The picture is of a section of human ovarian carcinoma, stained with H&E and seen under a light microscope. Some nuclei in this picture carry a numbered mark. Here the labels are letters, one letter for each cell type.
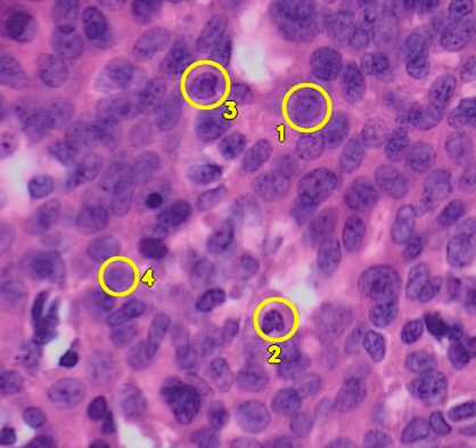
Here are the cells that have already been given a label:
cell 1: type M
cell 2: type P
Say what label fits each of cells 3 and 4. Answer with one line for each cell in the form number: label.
3: type M
4: type M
